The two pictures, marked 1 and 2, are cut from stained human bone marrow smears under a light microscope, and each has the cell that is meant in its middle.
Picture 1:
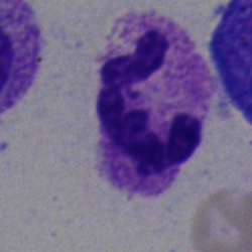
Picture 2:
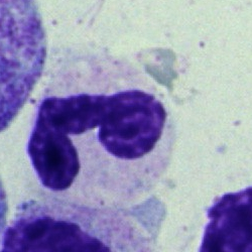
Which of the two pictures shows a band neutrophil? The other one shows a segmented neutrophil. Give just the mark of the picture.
2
